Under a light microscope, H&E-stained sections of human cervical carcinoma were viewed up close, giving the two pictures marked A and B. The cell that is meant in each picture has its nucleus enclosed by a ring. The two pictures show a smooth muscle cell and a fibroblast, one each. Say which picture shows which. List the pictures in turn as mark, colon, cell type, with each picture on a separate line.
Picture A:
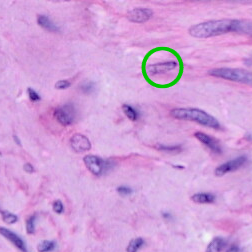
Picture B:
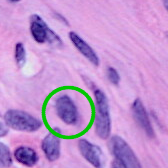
A: smooth muscle cell
B: fibroblast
